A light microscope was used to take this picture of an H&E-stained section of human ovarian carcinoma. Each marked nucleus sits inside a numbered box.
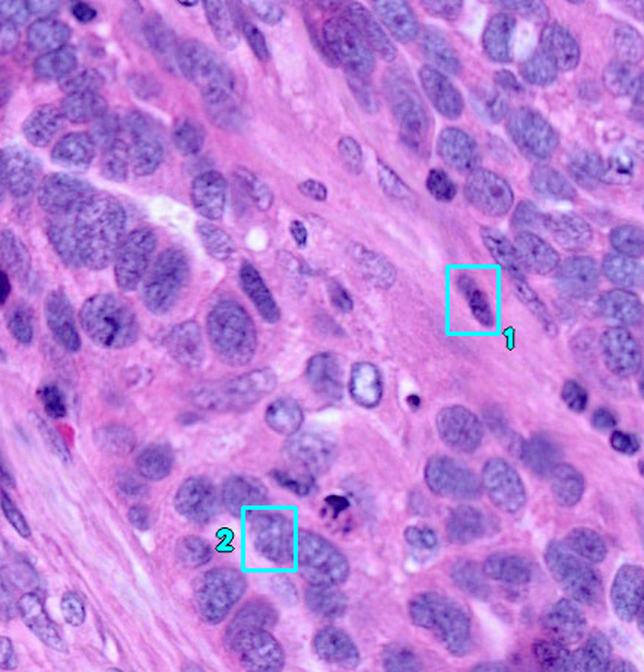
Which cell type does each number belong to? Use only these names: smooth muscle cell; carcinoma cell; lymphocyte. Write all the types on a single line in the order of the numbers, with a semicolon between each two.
lymphocyte; carcinoma cell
